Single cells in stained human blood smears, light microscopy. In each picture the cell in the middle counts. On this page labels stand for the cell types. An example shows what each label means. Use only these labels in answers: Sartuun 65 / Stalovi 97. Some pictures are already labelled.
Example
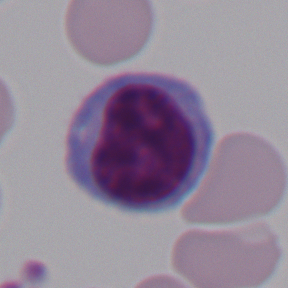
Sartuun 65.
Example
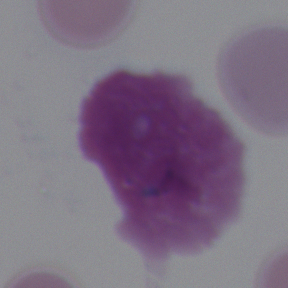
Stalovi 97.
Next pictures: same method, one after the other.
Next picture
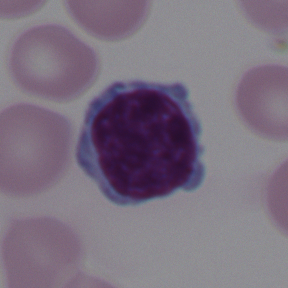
Sartuun 65.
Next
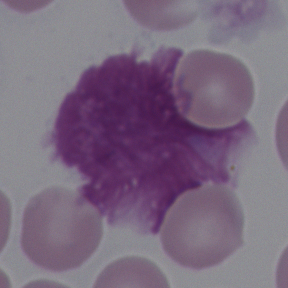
Stalovi 97.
